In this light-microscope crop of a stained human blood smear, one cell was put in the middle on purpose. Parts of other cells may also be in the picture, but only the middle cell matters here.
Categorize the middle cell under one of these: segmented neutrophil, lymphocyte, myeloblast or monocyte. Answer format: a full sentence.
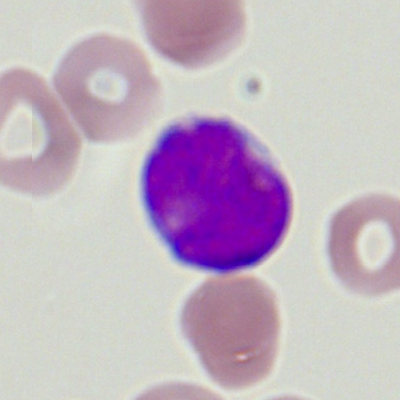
In the center of this field lies a myeloblast.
